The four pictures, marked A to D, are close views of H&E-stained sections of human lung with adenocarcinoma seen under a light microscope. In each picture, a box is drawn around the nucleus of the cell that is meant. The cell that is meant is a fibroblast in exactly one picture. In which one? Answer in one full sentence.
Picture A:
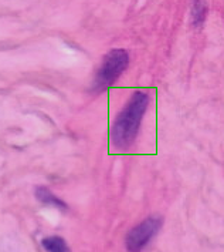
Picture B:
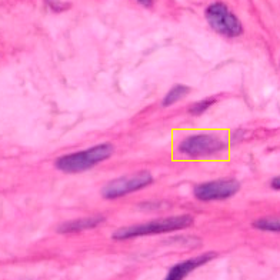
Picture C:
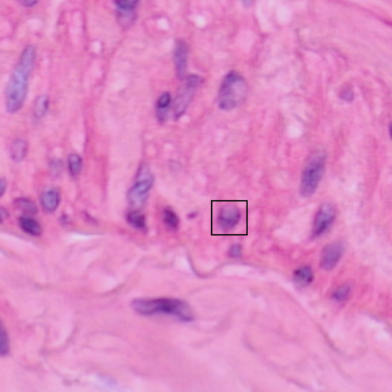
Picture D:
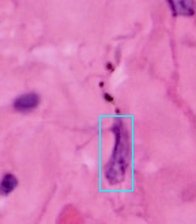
Picture D is the one that shows the fibroblast.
